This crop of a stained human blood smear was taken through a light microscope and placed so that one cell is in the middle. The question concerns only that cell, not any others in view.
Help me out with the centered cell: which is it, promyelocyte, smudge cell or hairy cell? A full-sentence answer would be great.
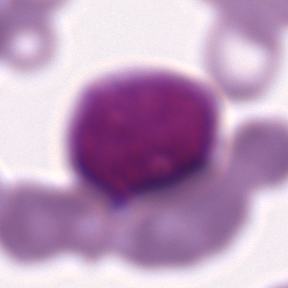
The cell at the middle of the frame should be recorded as a smudge cell.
